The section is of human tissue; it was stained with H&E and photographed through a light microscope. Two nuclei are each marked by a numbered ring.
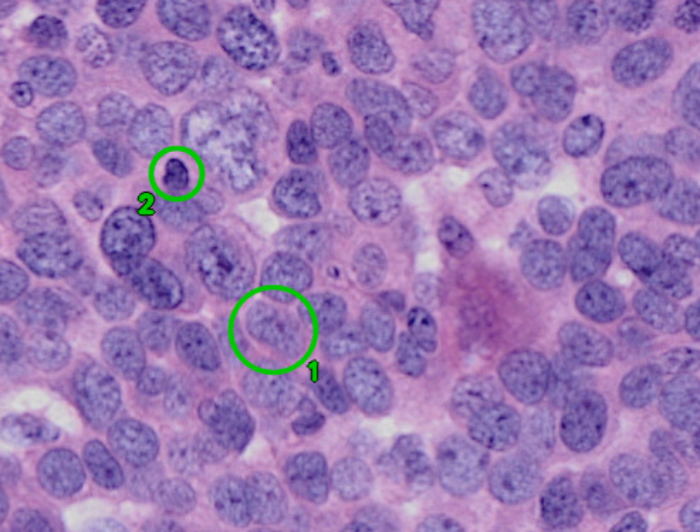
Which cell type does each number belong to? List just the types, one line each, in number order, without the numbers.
carcinoma cell
lymphocyte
